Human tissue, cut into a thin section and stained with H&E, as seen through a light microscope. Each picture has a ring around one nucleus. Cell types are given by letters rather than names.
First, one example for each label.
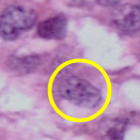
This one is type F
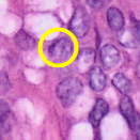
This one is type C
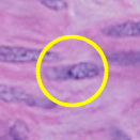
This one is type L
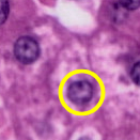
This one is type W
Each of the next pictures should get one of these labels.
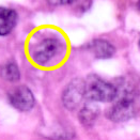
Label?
type F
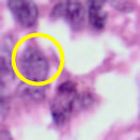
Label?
type F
